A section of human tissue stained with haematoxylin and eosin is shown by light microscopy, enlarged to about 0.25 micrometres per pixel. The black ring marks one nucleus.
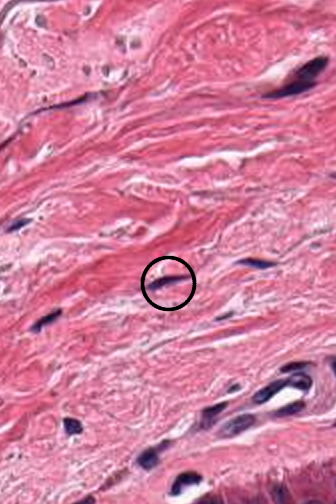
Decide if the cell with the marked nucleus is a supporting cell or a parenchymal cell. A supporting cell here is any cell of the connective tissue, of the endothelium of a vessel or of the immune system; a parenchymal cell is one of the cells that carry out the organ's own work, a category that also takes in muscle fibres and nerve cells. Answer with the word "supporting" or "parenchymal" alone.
supporting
